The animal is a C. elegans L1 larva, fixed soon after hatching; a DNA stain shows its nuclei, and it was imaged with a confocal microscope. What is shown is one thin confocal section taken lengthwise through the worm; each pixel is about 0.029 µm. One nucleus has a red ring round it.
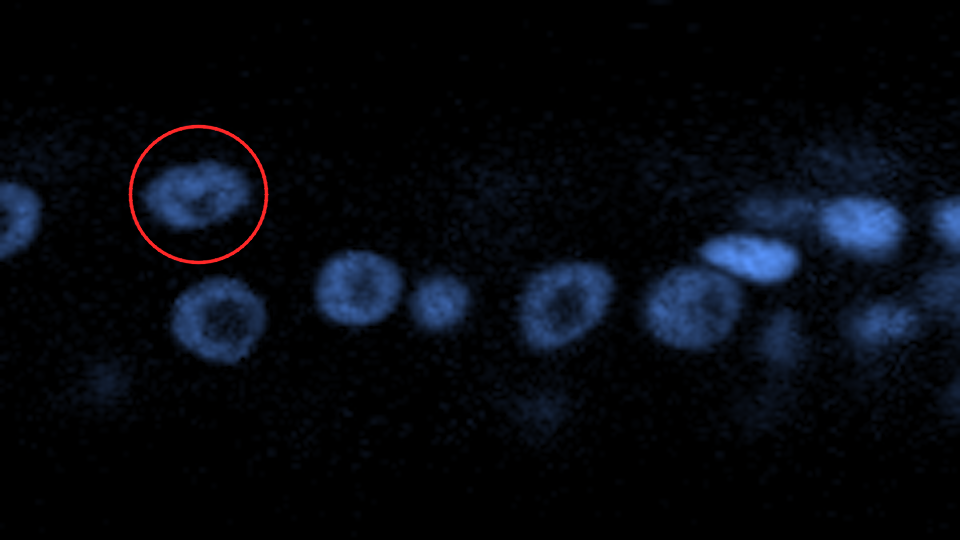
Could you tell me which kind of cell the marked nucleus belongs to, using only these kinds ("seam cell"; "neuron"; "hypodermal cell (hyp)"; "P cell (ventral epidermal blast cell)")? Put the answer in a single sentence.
The marked nucleus is that of a P cell (ventral epidermal blast cell).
